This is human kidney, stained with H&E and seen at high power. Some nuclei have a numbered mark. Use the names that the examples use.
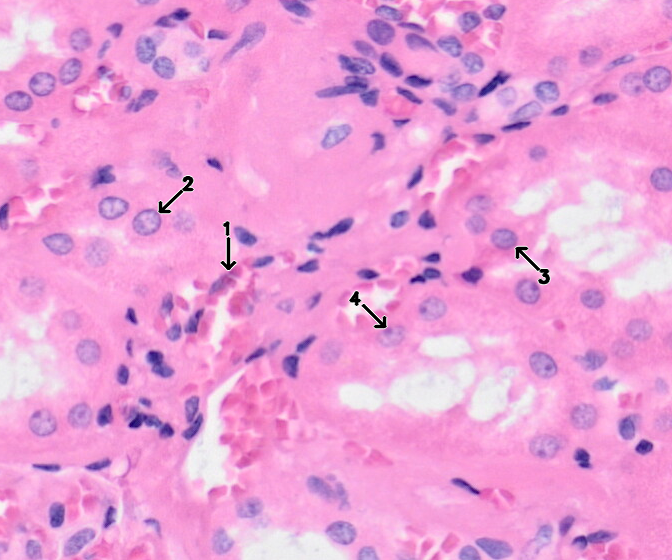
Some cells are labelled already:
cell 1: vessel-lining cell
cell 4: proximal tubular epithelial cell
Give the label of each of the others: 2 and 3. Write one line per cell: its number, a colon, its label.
2: proximal tubular epithelial cell
3: proximal tubular epithelial cell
